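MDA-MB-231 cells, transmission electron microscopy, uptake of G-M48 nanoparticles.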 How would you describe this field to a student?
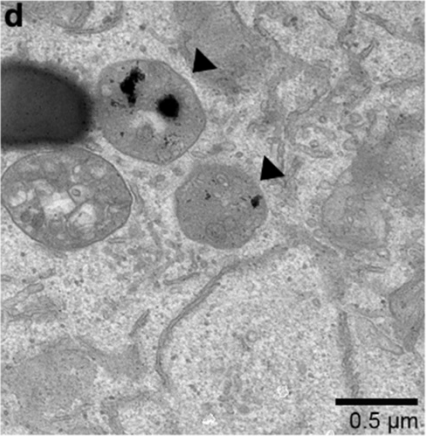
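This electron micrograph shows the cytoplasm of a cultured cell containing several round, membrane-bound endosomes. Some of these endosomes hold clusters of small, very dark, electron-dense particles, and one has a lighter, vacuolated interior. A large, uniformly dark mass lies at the left edge, and membranous profiles run through the surrounding granular cytoplasm.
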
